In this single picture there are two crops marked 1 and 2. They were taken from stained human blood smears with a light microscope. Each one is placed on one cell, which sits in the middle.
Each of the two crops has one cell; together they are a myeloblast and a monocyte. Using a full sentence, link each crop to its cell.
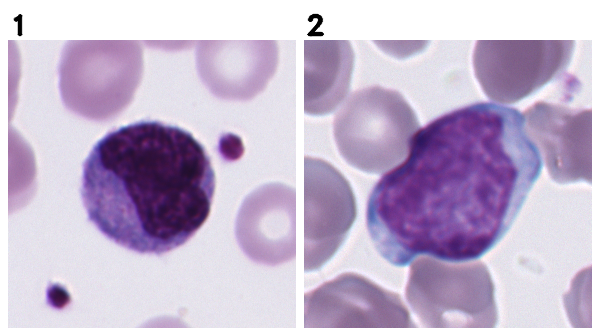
To sum up the two crops, crop 1 is a monocyte and crop 2 is a myeloblast.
